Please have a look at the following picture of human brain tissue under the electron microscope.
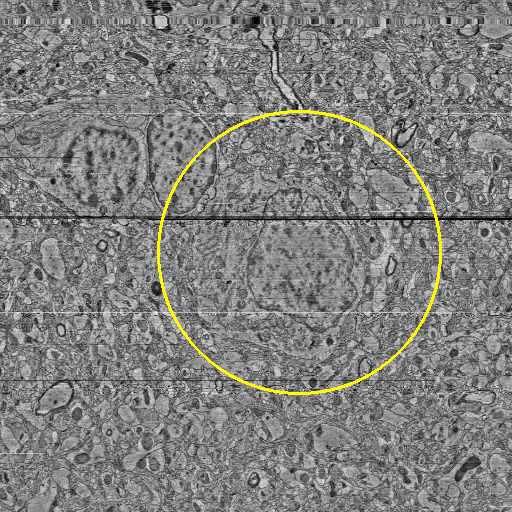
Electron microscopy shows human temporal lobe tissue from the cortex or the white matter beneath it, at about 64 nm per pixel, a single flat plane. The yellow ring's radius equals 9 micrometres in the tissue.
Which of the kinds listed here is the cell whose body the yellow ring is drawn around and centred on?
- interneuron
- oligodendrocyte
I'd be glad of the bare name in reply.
interneuron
